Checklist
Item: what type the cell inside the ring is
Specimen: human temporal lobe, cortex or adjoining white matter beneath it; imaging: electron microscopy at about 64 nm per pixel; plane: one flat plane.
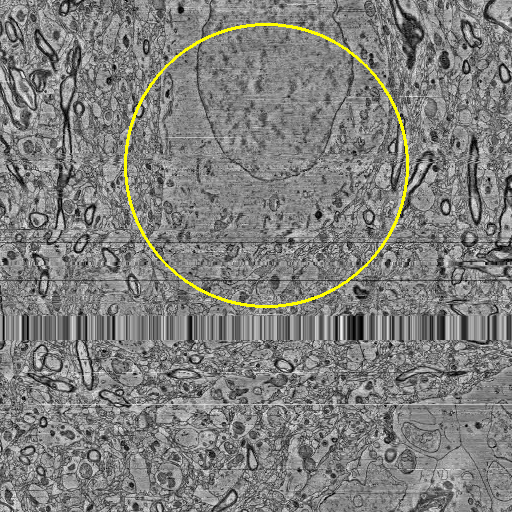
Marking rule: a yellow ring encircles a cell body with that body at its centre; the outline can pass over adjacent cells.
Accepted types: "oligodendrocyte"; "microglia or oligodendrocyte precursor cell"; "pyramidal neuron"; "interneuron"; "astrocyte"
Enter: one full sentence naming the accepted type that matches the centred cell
The entry is that a pyramidal neuron lies at the centre of the yellow ring.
